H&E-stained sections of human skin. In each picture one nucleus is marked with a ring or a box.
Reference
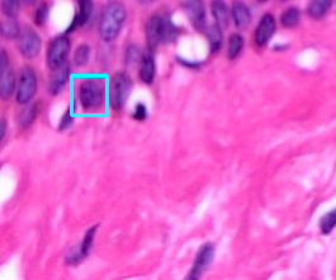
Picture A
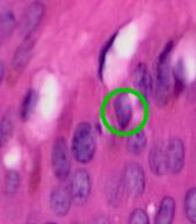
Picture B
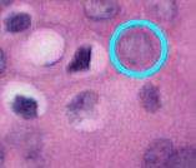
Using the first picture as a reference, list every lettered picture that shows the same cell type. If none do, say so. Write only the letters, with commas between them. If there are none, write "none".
A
